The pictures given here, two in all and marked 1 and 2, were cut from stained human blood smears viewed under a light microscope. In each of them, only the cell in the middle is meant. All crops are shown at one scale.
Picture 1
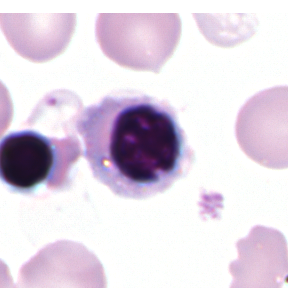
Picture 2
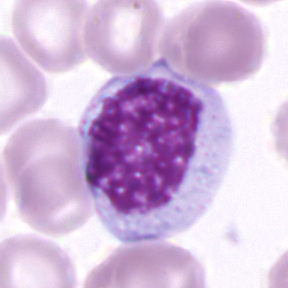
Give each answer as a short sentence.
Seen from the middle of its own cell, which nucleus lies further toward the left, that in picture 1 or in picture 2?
It is the nucleus in picture 2 that lies further toward the left of its cell.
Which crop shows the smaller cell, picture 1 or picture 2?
Picture 1 holds the smaller cell, since the cell in picture 2 covers about 2.5 times as much area.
